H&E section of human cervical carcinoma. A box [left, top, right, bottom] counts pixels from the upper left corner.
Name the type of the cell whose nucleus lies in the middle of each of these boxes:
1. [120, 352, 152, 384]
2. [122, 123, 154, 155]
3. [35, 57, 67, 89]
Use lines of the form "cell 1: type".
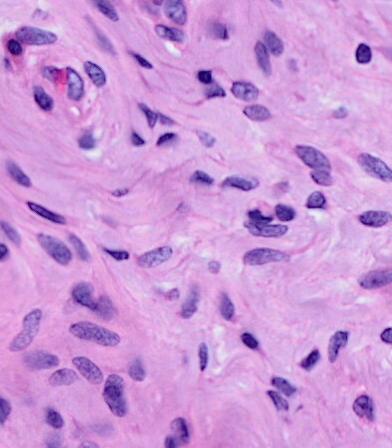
cell 1: fibroblast
cell 2: fibroblast
cell 3: endothelial cell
